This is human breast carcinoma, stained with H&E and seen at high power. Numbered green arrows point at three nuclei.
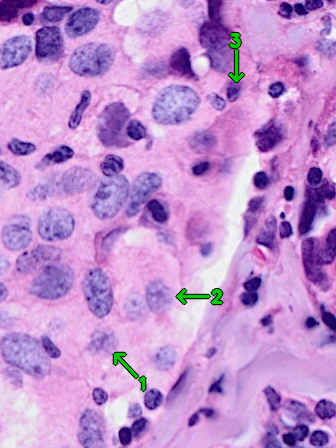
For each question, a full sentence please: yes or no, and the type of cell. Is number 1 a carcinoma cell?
Yes, that is correct: the cell numbered 1 is a carcinoma cell.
